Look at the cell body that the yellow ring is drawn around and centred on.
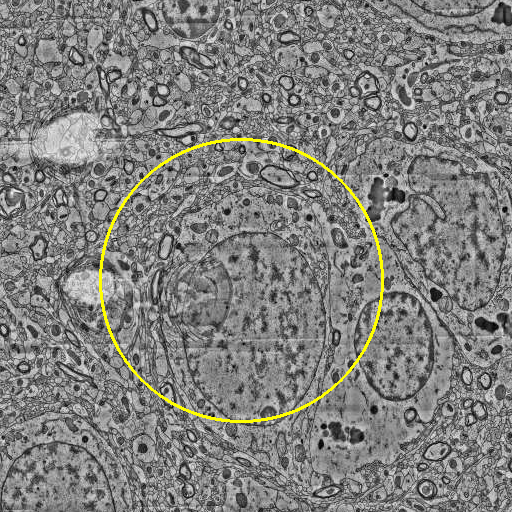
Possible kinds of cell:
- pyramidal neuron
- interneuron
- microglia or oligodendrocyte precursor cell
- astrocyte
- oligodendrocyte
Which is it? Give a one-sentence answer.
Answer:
The centred cell body is that of a pyramidal neuron.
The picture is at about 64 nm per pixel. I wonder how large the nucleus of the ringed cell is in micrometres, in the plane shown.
About 13 by 9 micrometers for the nucleus, in this plane.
